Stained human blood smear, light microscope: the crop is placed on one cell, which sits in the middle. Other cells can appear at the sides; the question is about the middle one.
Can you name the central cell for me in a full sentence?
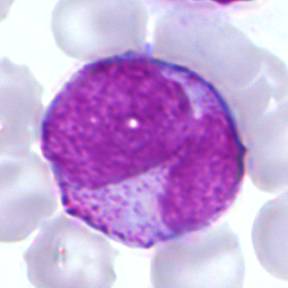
Centred in the crop is a promyelocyte.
